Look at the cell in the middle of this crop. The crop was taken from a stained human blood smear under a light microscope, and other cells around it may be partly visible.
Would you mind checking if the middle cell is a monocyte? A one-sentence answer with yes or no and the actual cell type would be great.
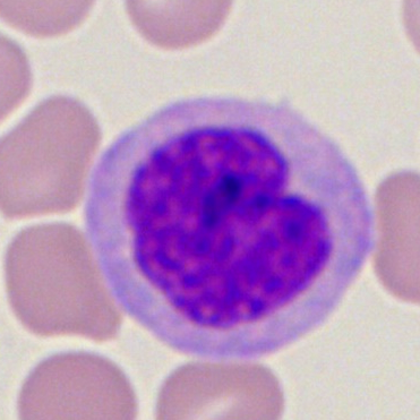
Yes, the cell positioned at the centre of the crop is a monocyte.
